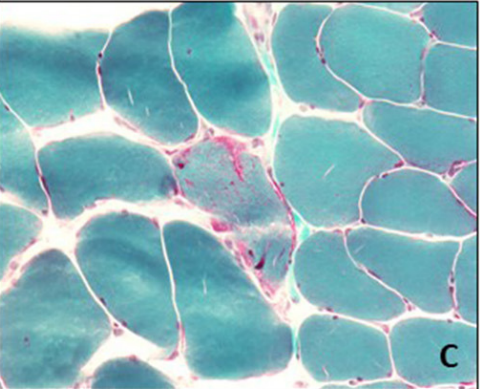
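Skeletal muscle fibers cut in cross-section, most of them rounded to polygonal and stained an even blue-green. Small dark nuclei sit at the edges of the fibers, just under their surface. Pale spaces separate the fibers, with thin pink strands of connective tissue and a few nuclei lying between them. One fiber near the centre looks different from its neighbours: it is paler green and holds irregular, granular red material, scattered through its substance and gathered in places toward its edge. The fibers around it keep a smooth, uniform staining.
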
